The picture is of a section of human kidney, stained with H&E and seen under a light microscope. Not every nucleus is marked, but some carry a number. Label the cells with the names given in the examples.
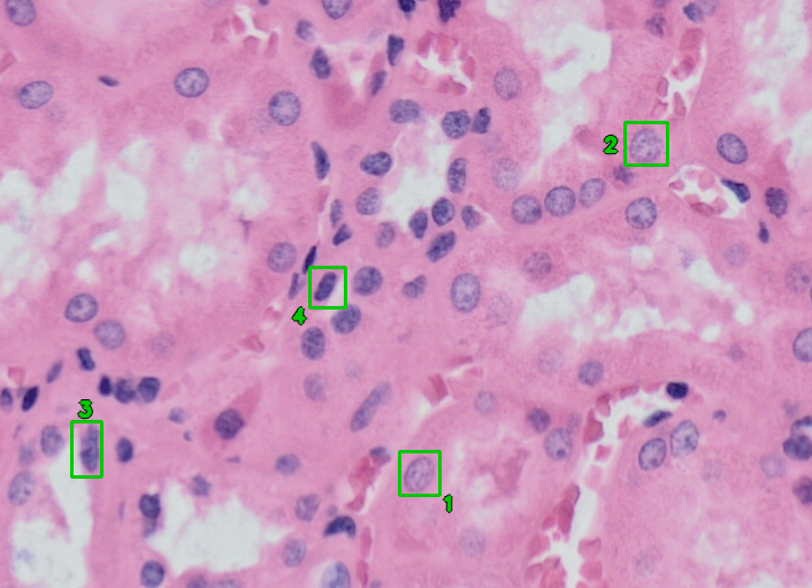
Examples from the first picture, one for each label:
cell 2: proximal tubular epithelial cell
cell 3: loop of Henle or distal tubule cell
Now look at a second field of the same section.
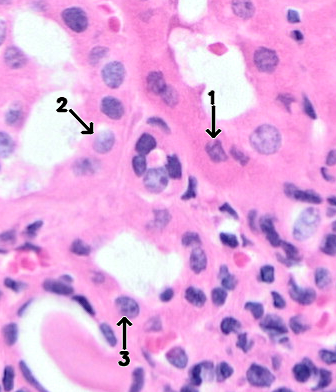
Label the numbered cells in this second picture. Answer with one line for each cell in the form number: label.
1: proximal tubular epithelial cell
2: loop of Henle or distal tubule cell
3: loop of Henle or distal tubule cell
